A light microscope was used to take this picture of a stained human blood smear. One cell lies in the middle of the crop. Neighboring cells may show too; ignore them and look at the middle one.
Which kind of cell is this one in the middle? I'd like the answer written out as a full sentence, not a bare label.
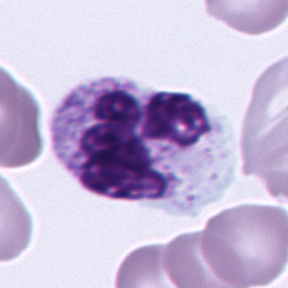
In the middle of this smear crop is a neutrophil.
